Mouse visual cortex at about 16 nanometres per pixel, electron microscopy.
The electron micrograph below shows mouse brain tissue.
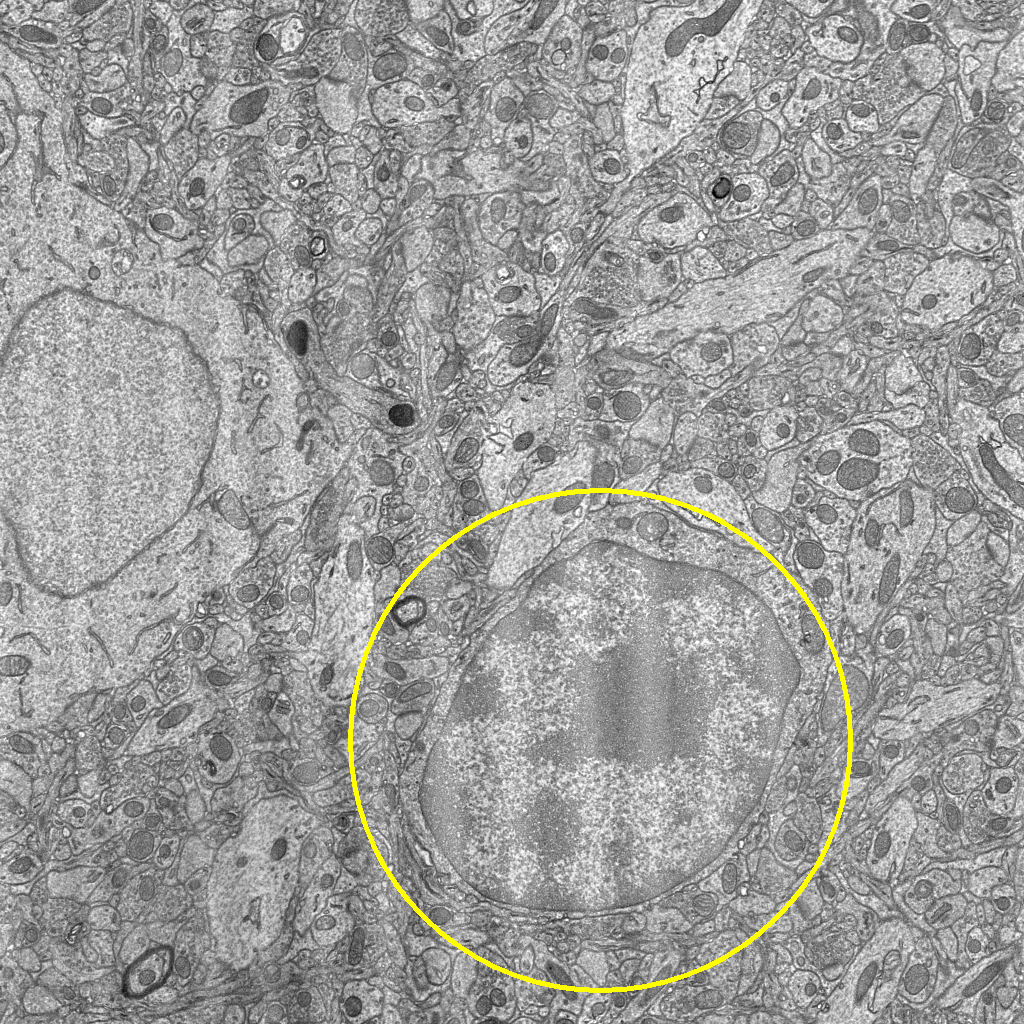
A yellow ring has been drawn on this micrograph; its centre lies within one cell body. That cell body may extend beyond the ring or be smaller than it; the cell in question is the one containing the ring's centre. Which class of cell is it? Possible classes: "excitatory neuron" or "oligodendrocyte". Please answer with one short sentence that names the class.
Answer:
In the centre of the ring sits an oligodendrocyte.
